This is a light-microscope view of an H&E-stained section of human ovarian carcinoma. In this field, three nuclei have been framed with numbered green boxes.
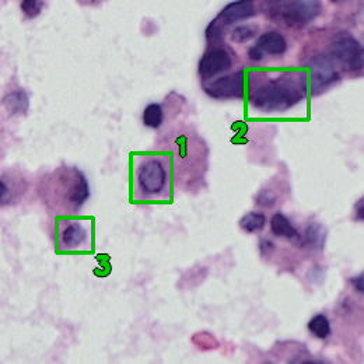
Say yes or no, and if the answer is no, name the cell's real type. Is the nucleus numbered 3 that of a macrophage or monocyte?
Yes.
